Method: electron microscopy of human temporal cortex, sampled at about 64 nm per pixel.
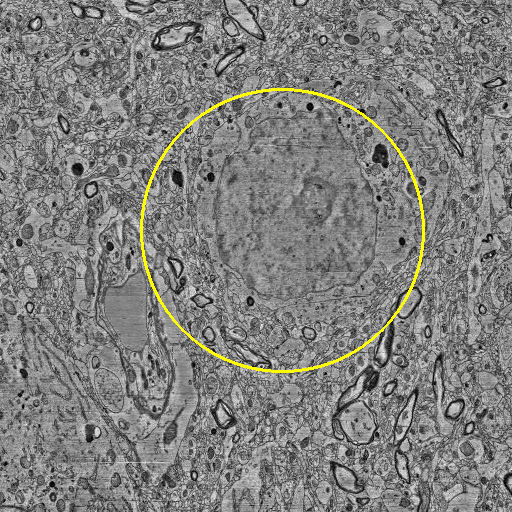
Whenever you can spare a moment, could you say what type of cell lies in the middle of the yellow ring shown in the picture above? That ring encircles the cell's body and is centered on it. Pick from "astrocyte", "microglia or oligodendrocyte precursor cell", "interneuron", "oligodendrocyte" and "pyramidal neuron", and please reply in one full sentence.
The cell whose body sits at the middle of the yellow ring is an interneuron.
